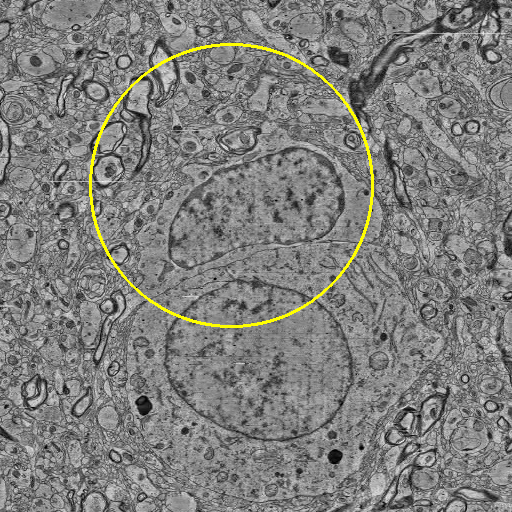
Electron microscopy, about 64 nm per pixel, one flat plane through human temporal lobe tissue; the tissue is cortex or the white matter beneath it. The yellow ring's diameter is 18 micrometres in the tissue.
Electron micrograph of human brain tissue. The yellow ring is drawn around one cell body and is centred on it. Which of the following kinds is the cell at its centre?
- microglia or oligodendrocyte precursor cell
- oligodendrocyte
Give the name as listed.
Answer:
microglia or oligodendrocyte precursor cell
